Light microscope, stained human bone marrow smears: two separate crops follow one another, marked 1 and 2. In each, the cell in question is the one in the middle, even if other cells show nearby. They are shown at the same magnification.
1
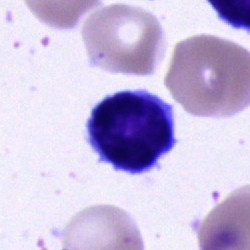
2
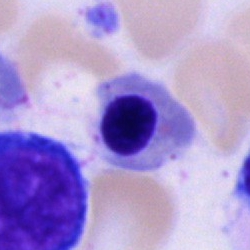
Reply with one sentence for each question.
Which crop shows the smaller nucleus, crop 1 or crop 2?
The nucleus in crop 2 is smaller; the one in crop 1 has about 2 times its area.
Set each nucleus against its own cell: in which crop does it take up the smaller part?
The nucleus fills less of the cell in crop 2 than in crop 1.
